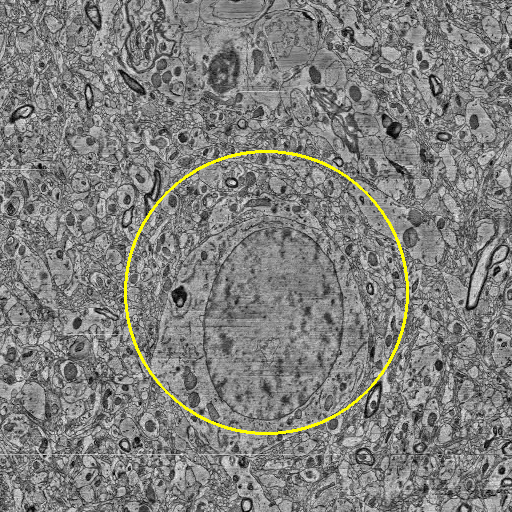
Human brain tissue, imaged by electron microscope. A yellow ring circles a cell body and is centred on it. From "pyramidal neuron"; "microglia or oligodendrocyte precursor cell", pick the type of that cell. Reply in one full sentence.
The cell body at the centre of the yellow ring belongs to a pyramidal neuron.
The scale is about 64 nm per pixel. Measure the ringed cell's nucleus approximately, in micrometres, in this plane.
The nucleus comes to roughly 13 by 9 micrometres in this plane.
